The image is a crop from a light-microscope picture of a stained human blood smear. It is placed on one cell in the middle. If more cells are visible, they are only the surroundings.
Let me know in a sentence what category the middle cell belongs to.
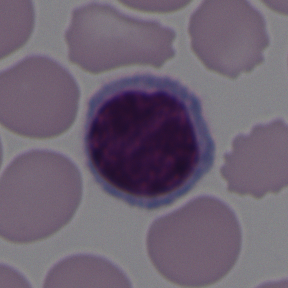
At the middle of the frame sits a typical lymphocyte.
